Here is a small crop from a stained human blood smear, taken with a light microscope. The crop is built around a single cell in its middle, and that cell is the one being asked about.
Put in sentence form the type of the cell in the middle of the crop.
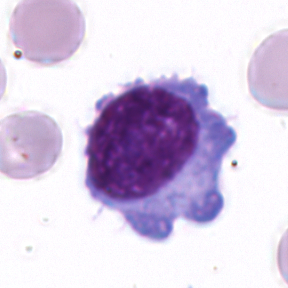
Classified as a plasma cell is the cell in the middle of this crop.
